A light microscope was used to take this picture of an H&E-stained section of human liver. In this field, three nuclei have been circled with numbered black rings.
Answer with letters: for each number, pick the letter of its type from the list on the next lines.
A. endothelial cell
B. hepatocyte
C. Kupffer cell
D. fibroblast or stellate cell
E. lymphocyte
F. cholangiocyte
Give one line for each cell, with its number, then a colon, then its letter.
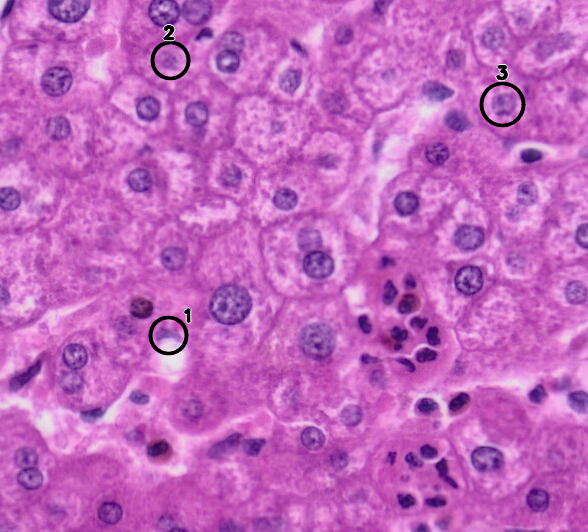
1: A
2: B
3: B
